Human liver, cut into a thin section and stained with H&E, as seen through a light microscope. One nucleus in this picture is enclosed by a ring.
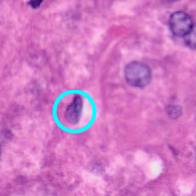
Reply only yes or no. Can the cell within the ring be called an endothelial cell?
yes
